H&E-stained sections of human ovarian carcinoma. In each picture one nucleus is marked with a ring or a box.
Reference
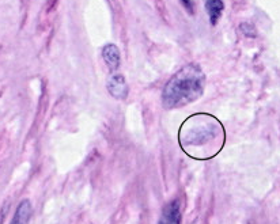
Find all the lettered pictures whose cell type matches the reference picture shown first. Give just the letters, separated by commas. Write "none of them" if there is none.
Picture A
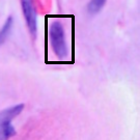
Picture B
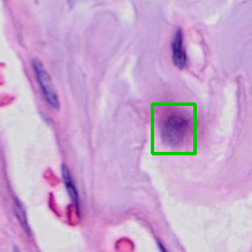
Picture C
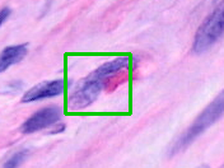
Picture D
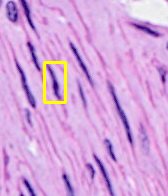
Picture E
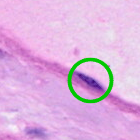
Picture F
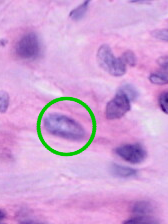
D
